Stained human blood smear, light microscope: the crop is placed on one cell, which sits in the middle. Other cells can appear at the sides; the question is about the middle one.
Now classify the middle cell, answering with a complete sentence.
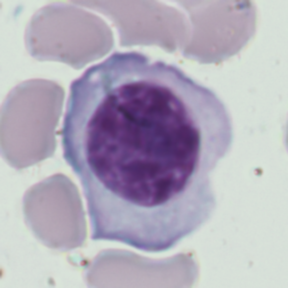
The crop shows a plasma cell in its centre.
